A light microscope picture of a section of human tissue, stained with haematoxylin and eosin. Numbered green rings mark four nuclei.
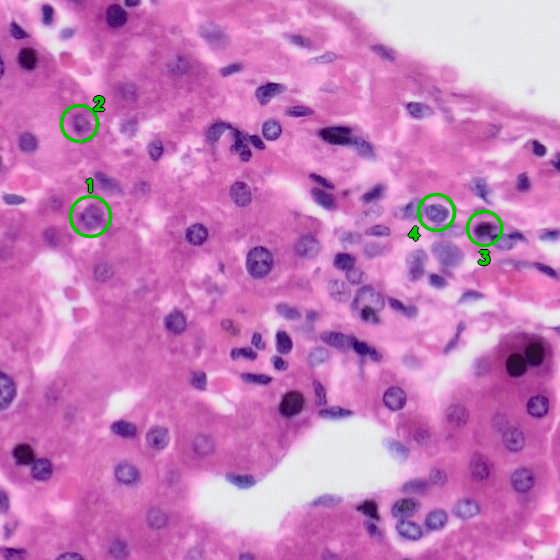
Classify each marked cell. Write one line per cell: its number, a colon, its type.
1: hepatocyte
2: hepatocyte
3: cholangiocyte
4: cholangiocyte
